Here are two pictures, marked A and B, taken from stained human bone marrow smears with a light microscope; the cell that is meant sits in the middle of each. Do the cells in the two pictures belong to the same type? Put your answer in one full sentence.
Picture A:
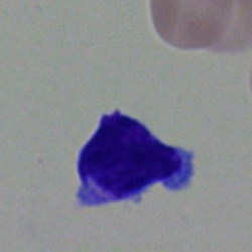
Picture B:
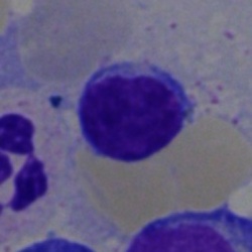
Yes, both are lymphocytes.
